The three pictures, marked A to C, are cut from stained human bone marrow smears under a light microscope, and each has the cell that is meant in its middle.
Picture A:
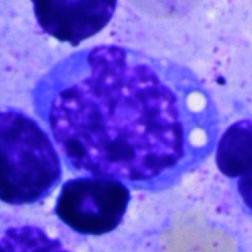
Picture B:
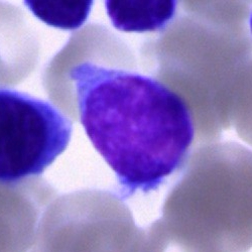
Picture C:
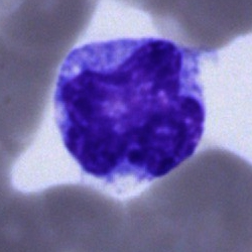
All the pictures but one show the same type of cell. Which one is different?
B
